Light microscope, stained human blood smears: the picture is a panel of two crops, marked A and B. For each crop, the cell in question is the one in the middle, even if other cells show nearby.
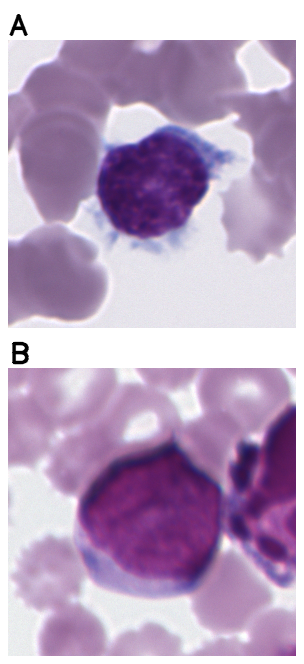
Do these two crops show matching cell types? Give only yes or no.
no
